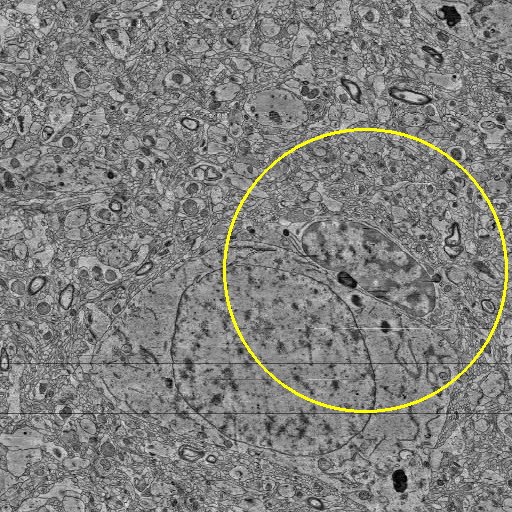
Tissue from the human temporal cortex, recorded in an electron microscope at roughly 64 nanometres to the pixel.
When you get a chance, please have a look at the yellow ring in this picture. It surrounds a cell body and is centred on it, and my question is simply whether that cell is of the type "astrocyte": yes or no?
No, the cell is of another type.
